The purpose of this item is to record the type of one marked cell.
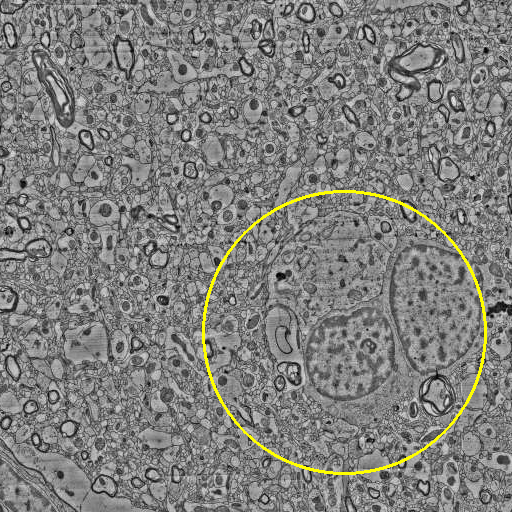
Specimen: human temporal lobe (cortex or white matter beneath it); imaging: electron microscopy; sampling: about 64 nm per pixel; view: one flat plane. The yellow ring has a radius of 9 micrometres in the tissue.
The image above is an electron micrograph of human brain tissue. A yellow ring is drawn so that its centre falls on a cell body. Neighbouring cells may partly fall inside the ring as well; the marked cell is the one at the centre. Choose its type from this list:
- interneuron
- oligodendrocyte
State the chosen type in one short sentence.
What the ring marks here is an oligodendrocyte.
